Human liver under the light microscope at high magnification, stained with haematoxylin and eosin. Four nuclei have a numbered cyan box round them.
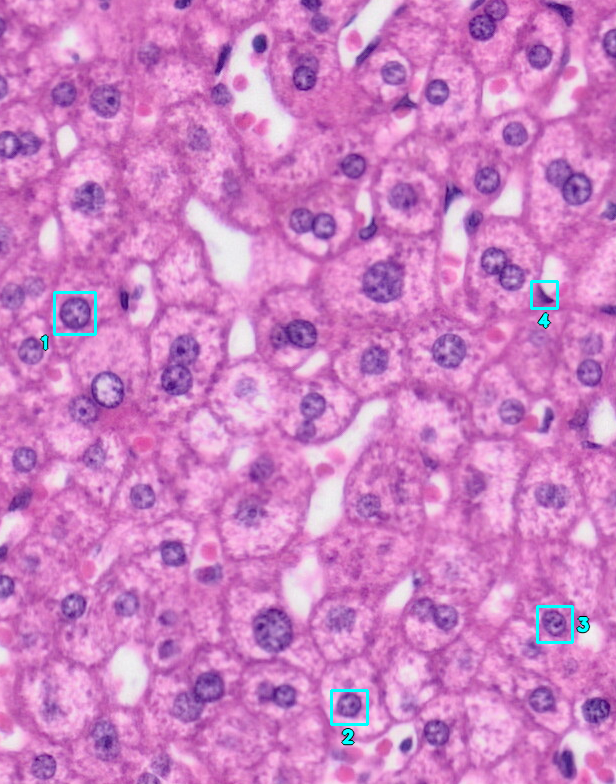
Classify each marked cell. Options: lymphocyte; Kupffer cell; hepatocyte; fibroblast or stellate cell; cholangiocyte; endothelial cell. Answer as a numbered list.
1. hepatocyte
2. hepatocyte
3. hepatocyte
4. endothelial cell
